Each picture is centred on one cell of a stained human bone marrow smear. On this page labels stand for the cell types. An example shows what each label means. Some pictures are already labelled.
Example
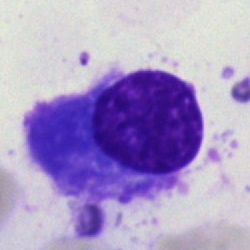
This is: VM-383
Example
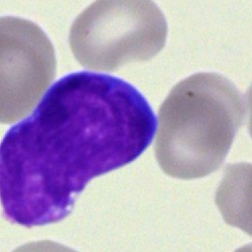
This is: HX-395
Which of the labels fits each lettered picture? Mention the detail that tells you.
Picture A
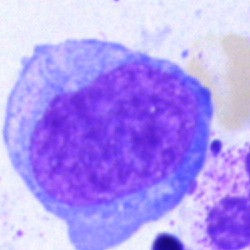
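Label: HX-395. The nucleus fills most of the cell, leaving a rim of cytoplasm that is widest on the left side.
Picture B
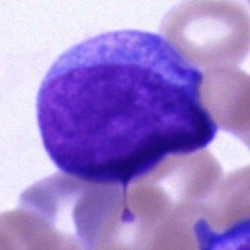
Label: HX-395. The cytoplasm is a scant rim of deep blue, seen mainly along the upper edge.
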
